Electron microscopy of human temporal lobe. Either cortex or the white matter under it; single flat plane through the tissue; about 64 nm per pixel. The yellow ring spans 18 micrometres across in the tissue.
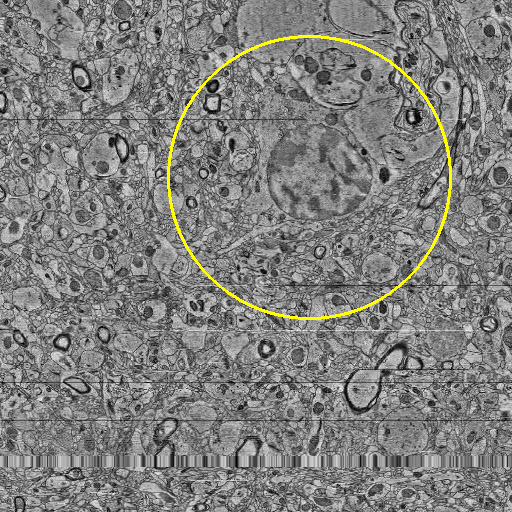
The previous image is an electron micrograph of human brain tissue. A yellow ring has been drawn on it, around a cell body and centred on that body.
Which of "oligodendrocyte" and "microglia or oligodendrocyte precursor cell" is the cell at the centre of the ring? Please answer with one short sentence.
The cell body at the centre of the ring belongs to an oligodendrocyte.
